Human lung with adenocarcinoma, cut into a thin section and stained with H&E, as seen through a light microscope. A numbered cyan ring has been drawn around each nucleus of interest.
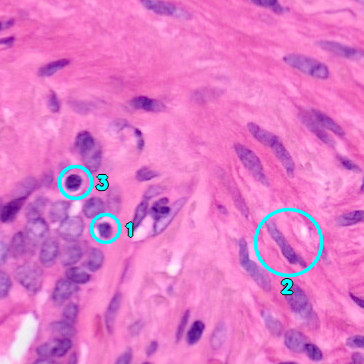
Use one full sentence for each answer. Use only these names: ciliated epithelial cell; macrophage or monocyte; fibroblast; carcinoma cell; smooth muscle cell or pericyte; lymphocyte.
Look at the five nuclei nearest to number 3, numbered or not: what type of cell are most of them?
Ciliated epithelial cells account for more than half of the five nuclei nearest to number 3.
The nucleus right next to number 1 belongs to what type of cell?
Closest to number 1 lies the nucleus of a ciliated epithelial cell.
